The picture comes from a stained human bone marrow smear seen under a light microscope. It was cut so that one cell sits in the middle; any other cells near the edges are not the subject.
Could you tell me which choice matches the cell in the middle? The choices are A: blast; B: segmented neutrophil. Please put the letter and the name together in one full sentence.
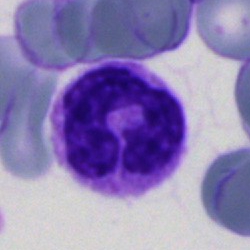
The cell at the heart of the crop is a segmented neutrophil, so choose option B.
